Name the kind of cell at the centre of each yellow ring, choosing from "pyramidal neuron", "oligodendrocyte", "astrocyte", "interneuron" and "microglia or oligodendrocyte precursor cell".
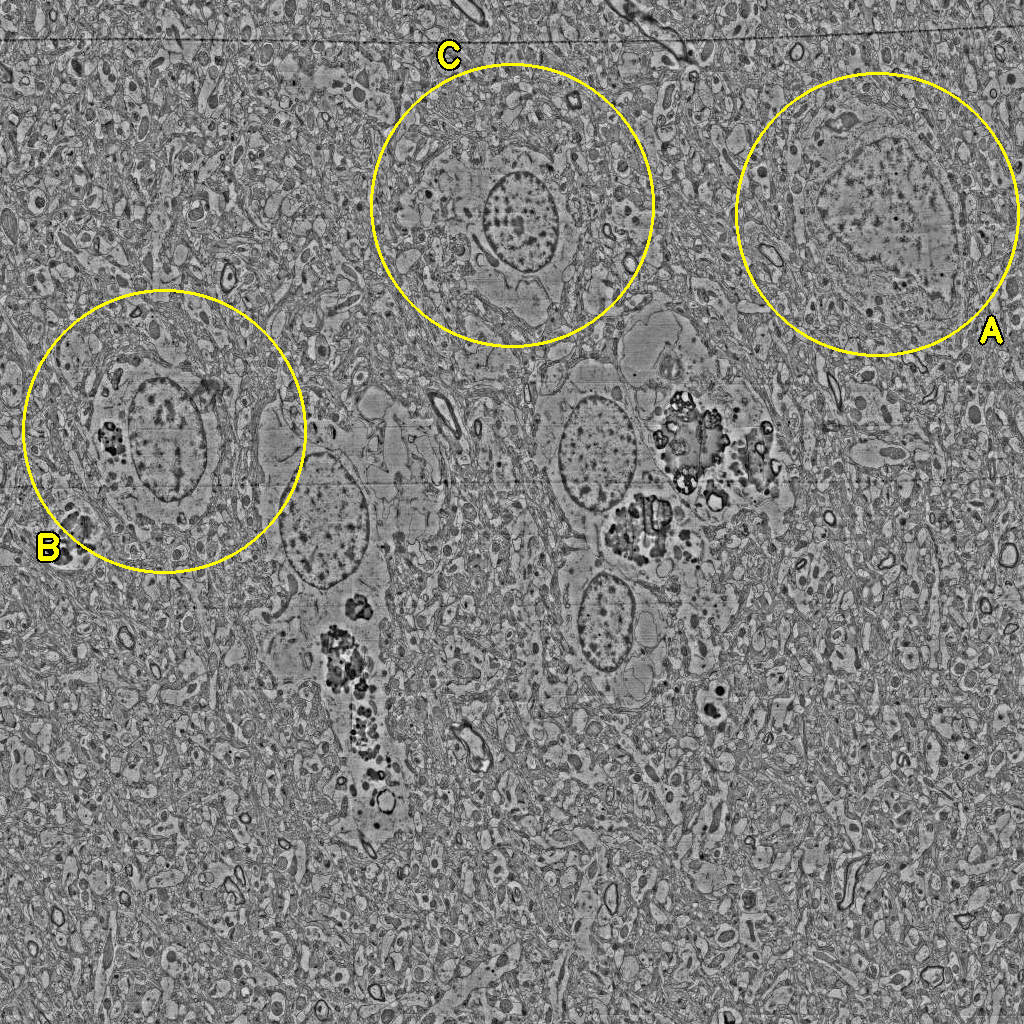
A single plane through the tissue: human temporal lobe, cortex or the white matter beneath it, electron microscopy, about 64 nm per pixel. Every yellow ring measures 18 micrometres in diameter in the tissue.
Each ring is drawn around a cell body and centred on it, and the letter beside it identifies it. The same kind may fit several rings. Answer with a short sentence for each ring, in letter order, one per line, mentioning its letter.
Ring A is drawn around an interneuron.
Ring B is drawn around an astrocyte.
Ring C is drawn around an astrocyte.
